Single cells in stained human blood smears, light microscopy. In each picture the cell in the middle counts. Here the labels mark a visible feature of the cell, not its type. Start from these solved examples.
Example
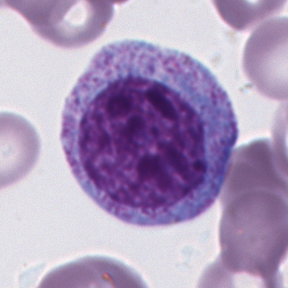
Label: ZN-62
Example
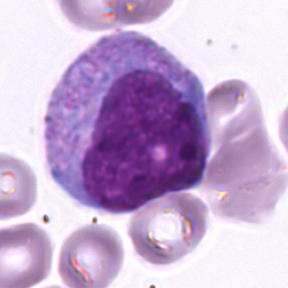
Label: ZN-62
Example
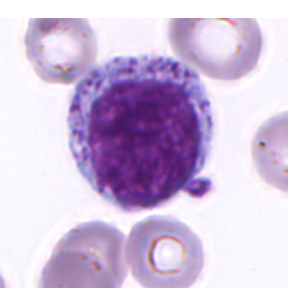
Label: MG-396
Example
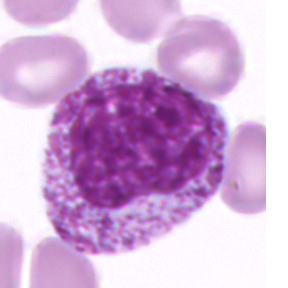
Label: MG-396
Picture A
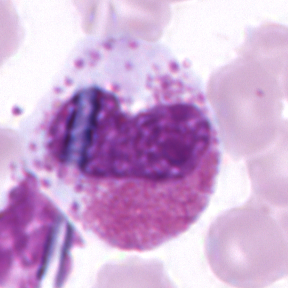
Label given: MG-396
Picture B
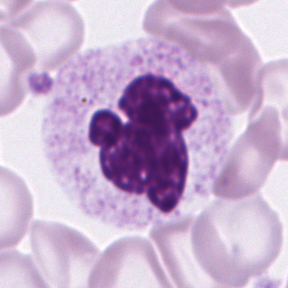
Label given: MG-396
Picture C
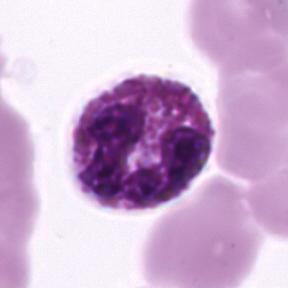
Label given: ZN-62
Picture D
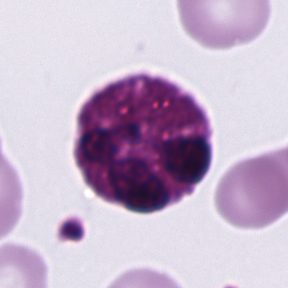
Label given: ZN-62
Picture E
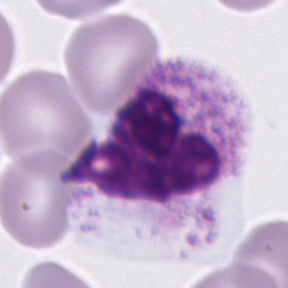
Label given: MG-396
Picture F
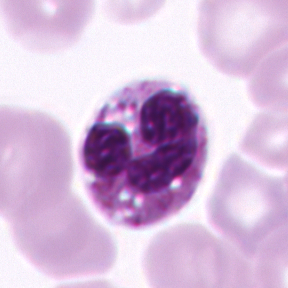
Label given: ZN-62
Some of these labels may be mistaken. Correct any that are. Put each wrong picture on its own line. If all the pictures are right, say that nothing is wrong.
Wrong: A (MG-396); correct: ZN-62
Wrong: B (MG-396); correct: ZN-62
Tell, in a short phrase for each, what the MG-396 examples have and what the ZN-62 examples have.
In MG-396: coarse or large granules. In ZN-62: fine or small granules.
